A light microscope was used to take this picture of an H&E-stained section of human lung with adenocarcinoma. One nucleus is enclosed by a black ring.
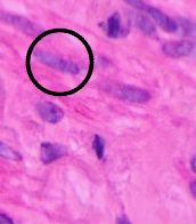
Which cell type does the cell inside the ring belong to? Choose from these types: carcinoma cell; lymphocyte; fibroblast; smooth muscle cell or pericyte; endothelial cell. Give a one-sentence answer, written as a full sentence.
The identity of the cell inside the ring is that of a smooth muscle cell or pericyte.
